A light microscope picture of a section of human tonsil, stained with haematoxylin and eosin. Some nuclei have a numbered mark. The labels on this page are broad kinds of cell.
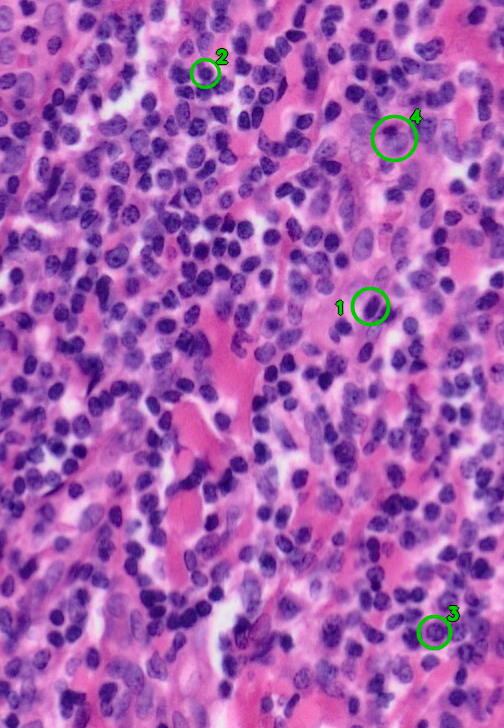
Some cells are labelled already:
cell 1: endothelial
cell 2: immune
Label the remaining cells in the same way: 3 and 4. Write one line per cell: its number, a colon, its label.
3: immune
4: endothelial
